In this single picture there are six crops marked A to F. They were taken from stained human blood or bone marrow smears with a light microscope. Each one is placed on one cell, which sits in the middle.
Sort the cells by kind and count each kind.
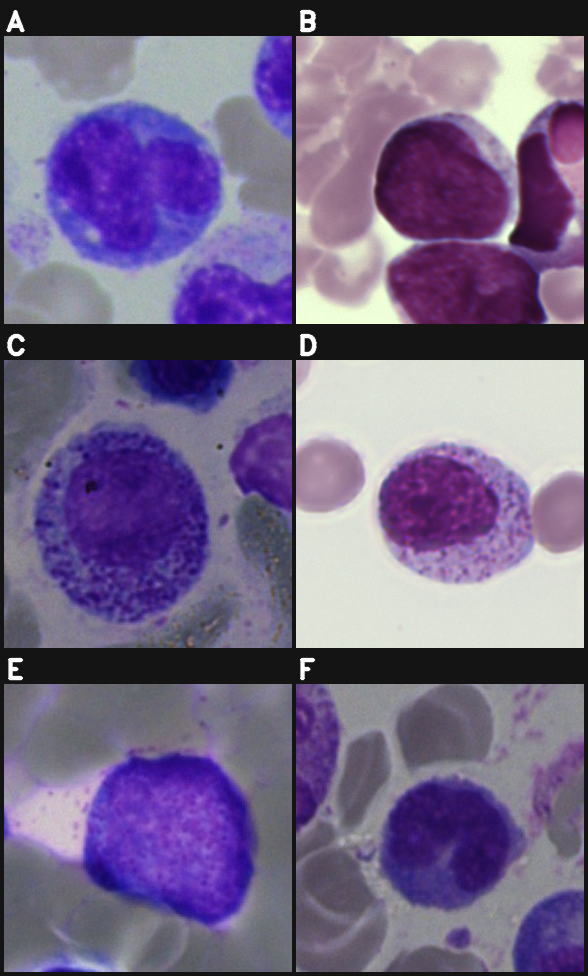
monocyte: 2
blast: 2
myelocyte: 2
